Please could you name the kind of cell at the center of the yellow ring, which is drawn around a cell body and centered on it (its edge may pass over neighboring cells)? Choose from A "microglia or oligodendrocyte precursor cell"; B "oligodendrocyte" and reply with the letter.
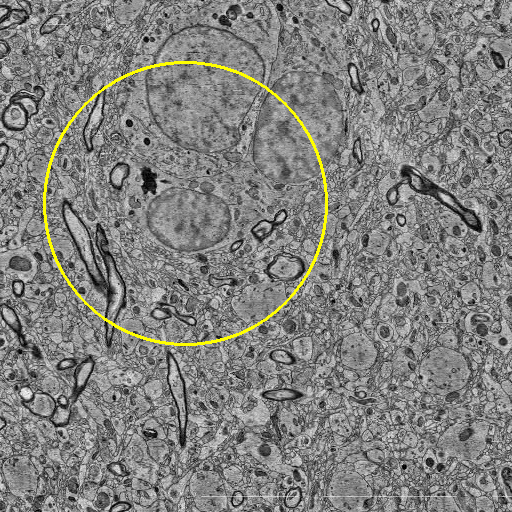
B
